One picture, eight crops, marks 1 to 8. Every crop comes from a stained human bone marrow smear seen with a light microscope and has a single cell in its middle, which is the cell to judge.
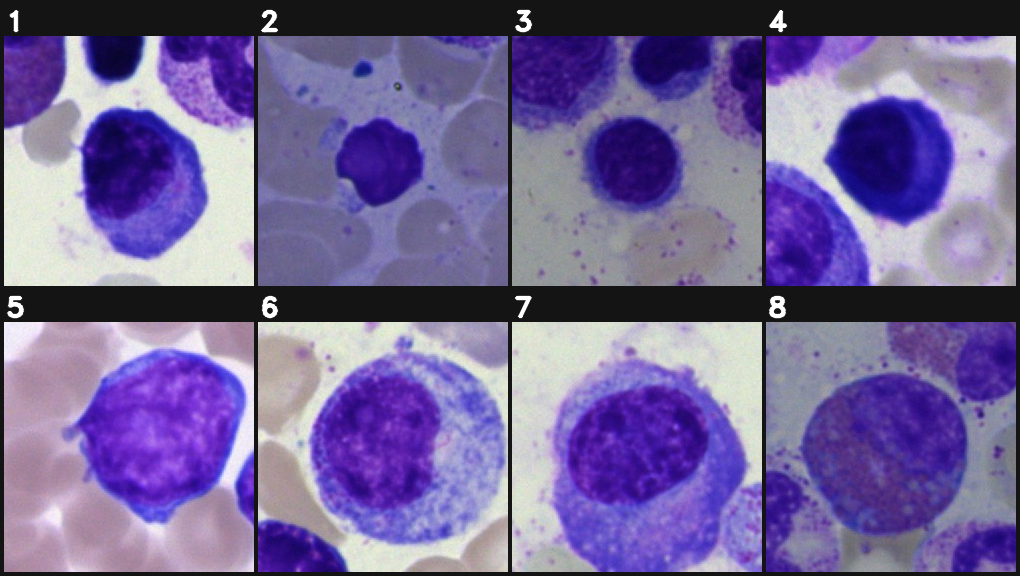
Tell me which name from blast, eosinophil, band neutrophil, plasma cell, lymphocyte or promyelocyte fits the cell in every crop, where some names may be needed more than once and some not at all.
1: plasma cell
2: lymphocyte
3: lymphocyte
4: plasma cell
5: blast
6: promyelocyte
7: plasma cell
8: eosinophil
